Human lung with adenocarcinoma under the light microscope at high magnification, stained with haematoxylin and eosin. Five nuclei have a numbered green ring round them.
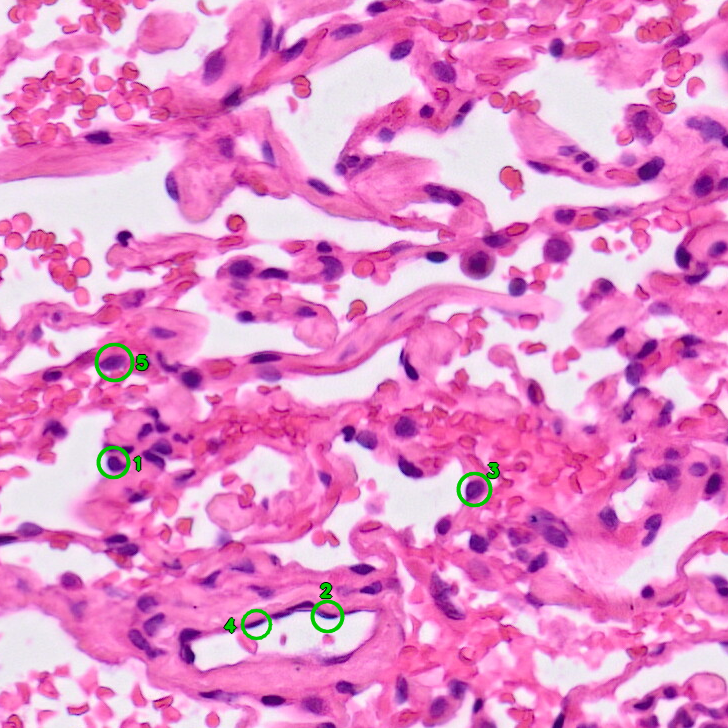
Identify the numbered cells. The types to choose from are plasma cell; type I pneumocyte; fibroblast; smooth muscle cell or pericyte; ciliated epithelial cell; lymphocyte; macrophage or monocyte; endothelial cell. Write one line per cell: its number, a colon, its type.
1: type I pneumocyte
2: endothelial cell
3: type I pneumocyte
4: endothelial cell
5: type I pneumocyte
